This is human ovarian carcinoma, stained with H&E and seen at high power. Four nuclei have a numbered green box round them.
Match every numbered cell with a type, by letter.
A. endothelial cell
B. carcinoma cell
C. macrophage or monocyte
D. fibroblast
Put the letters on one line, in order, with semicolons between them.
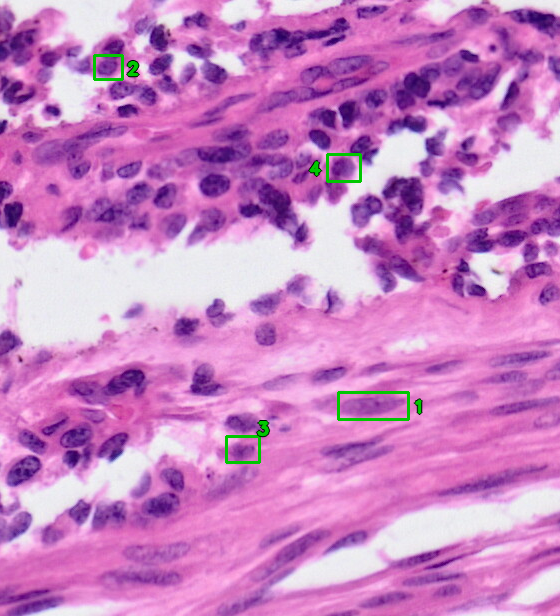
D; B; D; B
